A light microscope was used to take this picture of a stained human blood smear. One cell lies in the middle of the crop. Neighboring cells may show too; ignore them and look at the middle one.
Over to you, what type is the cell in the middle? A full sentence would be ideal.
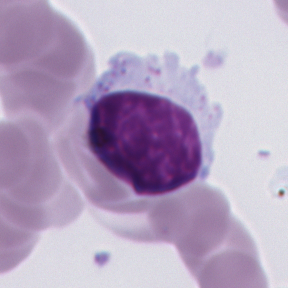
This crop is built around a large granular lymphocyte at its centre.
